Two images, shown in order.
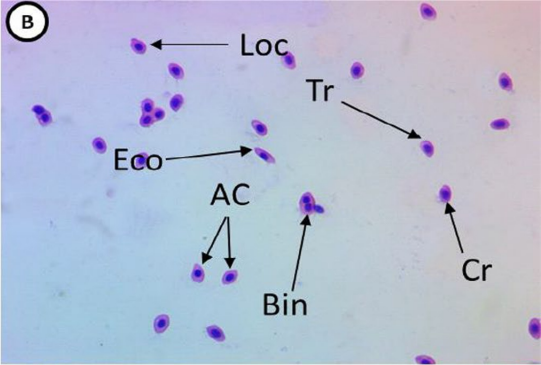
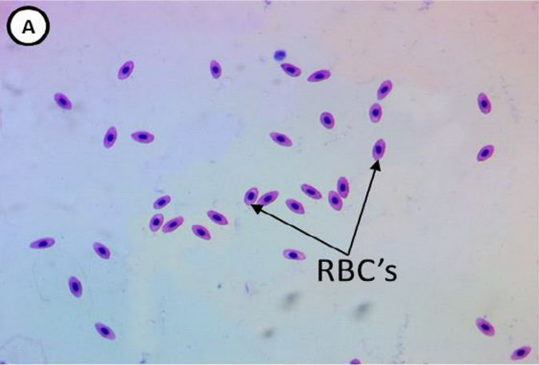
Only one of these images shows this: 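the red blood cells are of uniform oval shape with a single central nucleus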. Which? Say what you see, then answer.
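Second image: nearly all cells are smooth ovals with one central dark nucleus. First image: several cells have irregular outlines, one cell shows two nuclei, and some nuclei sit off-centre. The answer: the second image.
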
